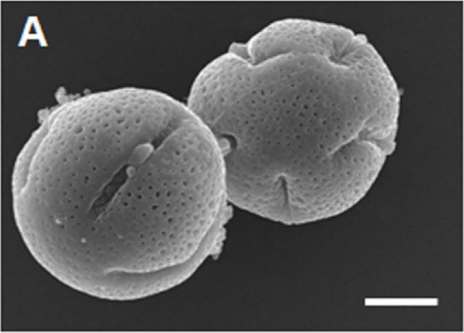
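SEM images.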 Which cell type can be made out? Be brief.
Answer: Pollen grains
